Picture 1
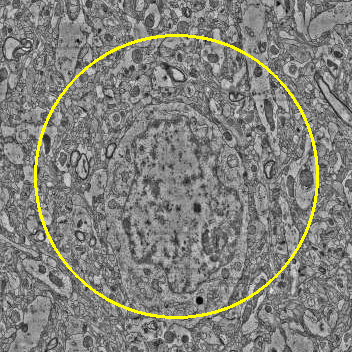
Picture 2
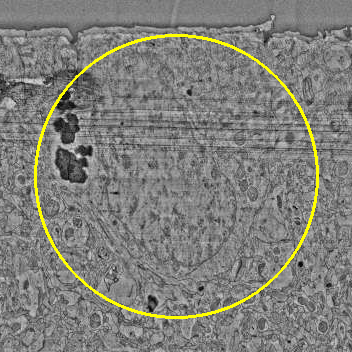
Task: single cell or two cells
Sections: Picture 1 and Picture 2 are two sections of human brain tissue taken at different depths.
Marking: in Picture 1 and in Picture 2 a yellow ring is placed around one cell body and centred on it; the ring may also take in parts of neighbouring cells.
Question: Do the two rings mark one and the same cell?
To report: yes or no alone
no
